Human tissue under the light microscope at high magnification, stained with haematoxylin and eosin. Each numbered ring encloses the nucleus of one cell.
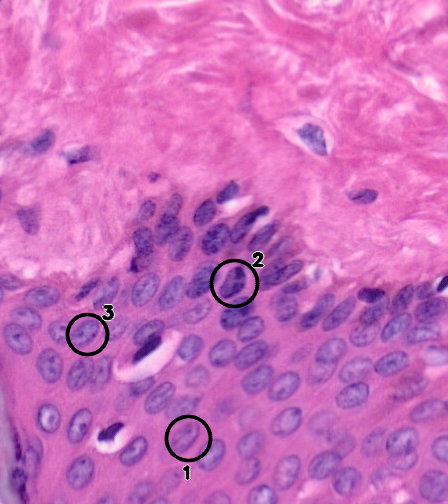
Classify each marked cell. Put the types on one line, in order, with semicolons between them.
suprabasal keratinocyte; basal keratinocyte; suprabasal keratinocyte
